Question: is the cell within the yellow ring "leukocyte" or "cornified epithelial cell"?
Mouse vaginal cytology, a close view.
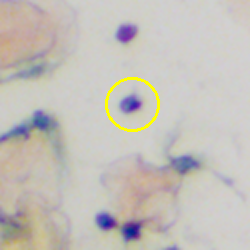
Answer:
leukocyte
